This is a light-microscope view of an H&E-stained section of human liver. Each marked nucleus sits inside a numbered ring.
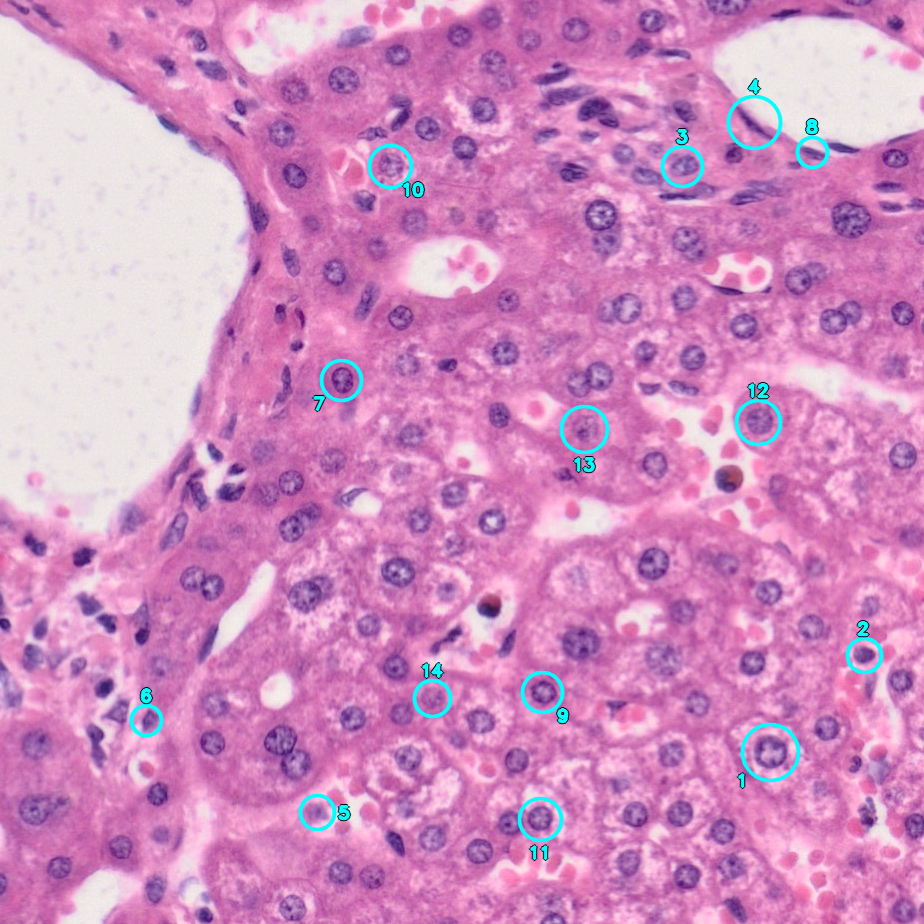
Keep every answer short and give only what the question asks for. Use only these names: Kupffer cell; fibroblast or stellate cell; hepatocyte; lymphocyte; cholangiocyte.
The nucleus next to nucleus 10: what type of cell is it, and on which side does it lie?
a fibroblast or stellate cell; above and to the left of nucleus 10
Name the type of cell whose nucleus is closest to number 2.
Kupffer cell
